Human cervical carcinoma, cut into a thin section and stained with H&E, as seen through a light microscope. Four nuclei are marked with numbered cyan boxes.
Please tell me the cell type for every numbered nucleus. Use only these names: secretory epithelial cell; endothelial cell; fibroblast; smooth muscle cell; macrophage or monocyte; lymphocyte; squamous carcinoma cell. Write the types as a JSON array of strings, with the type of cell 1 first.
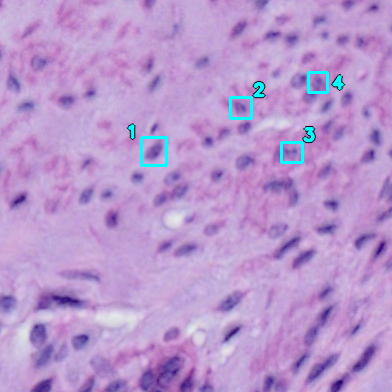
["fibroblast", "smooth muscle cell", "smooth muscle cell", "smooth muscle cell"]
